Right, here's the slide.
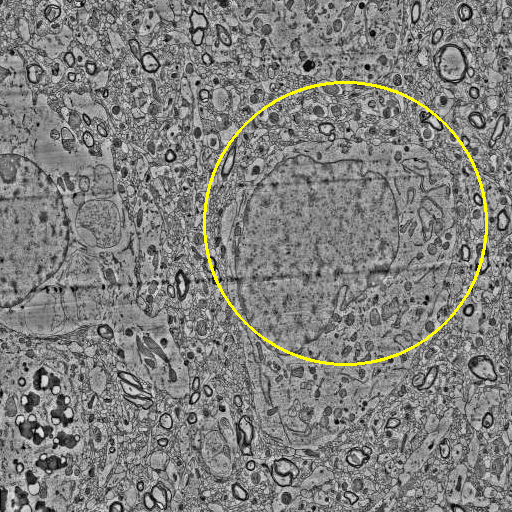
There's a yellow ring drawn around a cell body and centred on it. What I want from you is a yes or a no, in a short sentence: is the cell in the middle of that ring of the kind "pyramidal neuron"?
No, it's of some other kind.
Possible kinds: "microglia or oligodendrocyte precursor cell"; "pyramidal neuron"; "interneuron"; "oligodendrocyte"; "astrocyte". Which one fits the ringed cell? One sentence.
That cell in the ring is an interneuron instead.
